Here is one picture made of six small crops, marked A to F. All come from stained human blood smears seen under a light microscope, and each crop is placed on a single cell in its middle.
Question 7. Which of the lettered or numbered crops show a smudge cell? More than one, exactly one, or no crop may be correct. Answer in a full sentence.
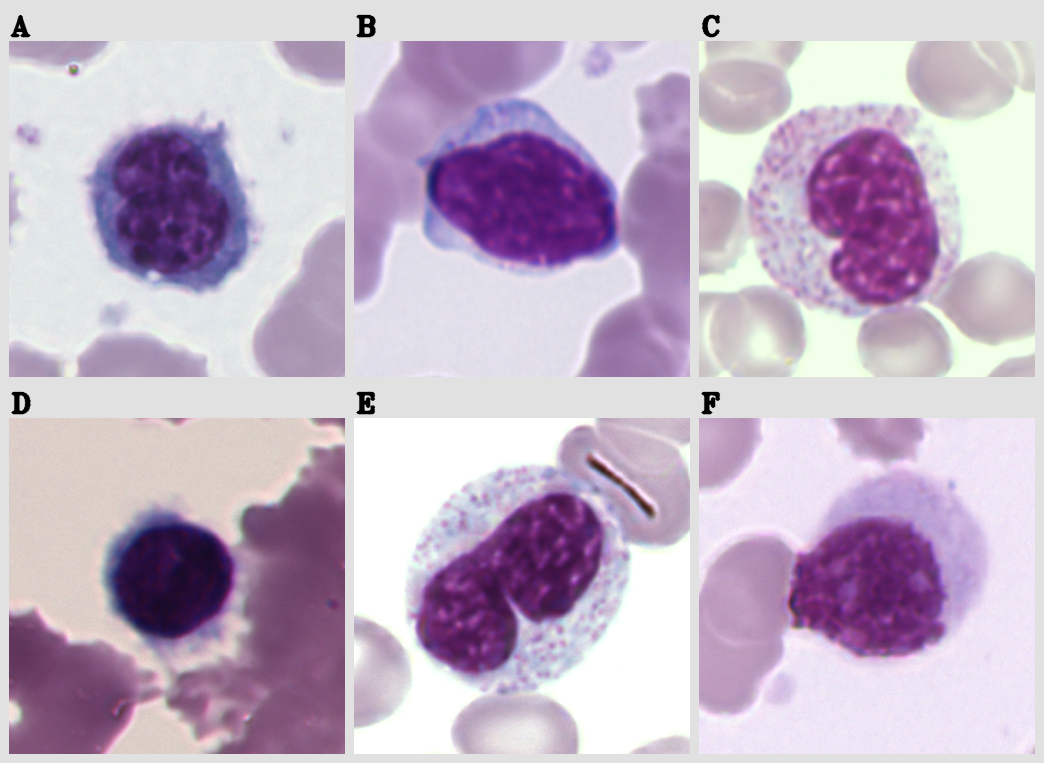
In none of the crops is the central cell a smudge cell.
